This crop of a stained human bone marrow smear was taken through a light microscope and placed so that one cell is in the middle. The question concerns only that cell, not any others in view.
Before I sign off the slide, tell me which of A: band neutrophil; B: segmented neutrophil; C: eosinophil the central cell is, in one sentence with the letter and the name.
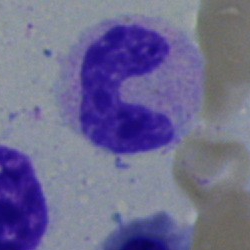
That middle cell is a band neutrophil, and option A is therefore correct.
